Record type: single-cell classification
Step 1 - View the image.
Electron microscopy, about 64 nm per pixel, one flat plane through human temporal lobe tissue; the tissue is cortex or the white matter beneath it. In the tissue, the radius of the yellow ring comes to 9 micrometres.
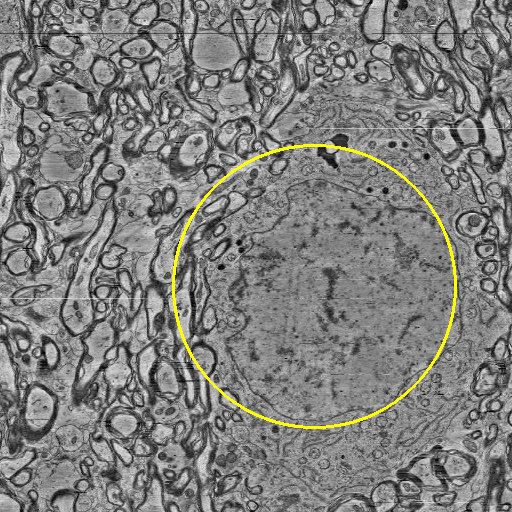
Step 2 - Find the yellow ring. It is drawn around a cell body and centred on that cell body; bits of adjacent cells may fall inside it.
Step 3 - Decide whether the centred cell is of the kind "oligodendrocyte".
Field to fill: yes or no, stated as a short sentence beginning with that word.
No, the centred cell belongs to another kind.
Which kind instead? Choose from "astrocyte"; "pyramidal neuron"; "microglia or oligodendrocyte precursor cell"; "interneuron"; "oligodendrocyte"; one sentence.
As it turns out, the cell at the ring centre is a pyramidal neuron.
